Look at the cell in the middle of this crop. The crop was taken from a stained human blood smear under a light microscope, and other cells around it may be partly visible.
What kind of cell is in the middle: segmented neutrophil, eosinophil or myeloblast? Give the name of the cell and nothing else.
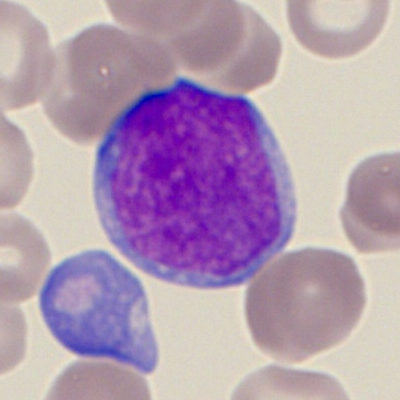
myeloblast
